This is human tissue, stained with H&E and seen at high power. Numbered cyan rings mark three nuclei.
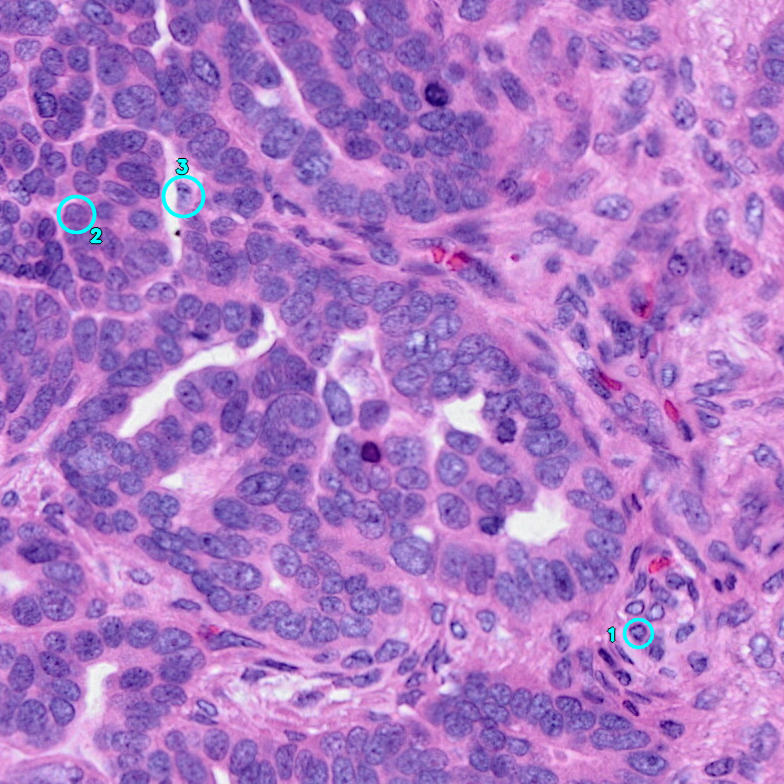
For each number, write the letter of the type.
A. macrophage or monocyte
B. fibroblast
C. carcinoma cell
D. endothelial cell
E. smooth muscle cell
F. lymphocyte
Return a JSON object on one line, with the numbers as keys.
{"1": "D", "2": "C", "3": "A"}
